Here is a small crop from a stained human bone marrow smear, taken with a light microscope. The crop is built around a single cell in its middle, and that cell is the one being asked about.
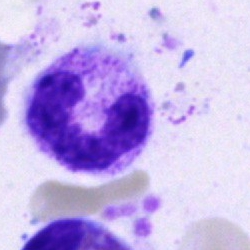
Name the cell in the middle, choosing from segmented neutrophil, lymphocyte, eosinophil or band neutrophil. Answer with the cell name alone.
band neutrophil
